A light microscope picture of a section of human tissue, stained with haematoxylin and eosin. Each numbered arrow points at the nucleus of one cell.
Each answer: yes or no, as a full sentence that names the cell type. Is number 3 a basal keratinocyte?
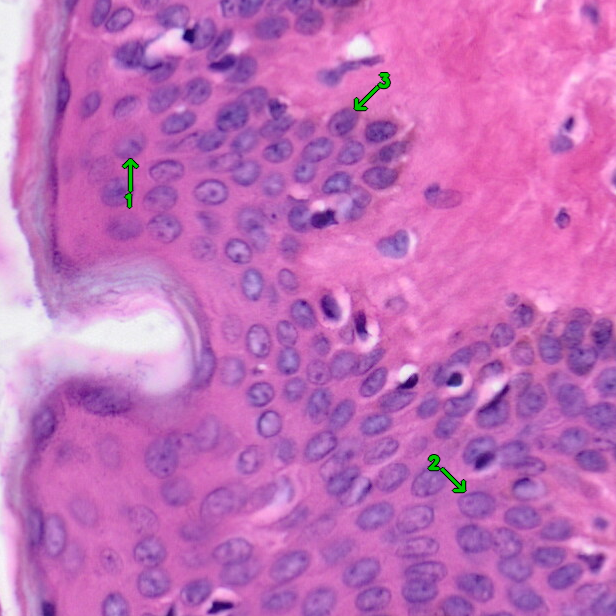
Yes, to put it simply, cell number 3 is a basal keratinocyte.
